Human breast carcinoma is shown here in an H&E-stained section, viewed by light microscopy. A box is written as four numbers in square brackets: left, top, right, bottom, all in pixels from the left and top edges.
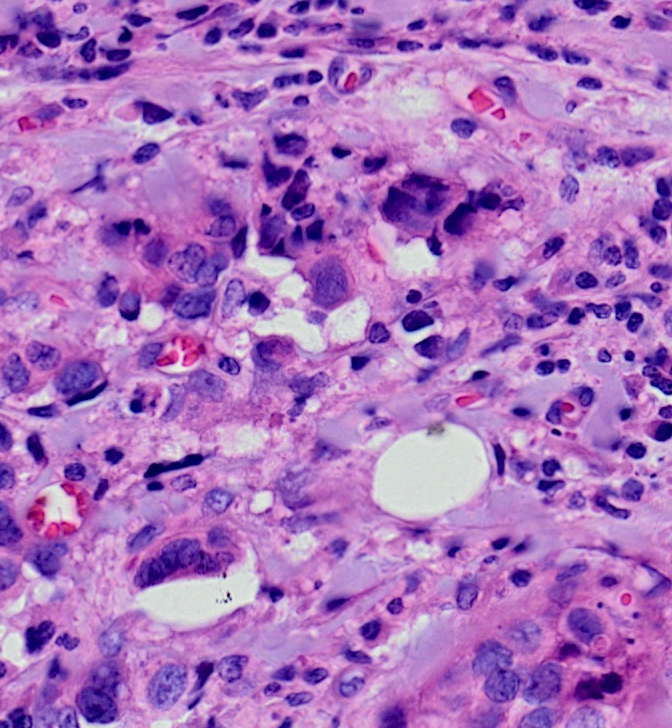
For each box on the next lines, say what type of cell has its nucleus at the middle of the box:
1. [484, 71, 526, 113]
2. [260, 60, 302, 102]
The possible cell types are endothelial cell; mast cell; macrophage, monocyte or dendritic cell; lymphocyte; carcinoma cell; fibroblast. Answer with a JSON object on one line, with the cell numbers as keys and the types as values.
{"1": "endothelial cell", "2": "lymphocyte"}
